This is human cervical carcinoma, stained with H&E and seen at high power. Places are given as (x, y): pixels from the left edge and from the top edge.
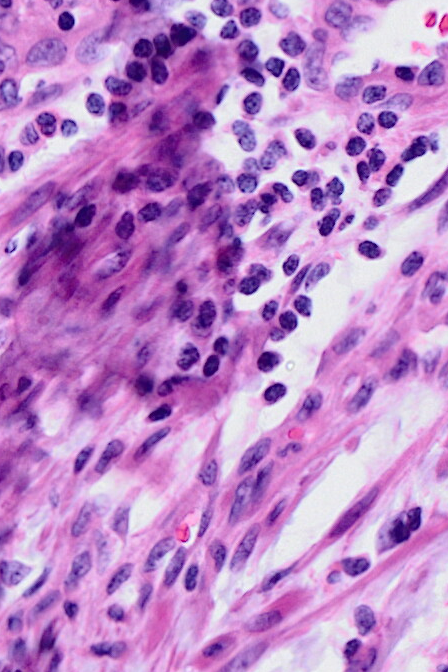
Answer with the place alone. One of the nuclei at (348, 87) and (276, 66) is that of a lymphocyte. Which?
(276, 66)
